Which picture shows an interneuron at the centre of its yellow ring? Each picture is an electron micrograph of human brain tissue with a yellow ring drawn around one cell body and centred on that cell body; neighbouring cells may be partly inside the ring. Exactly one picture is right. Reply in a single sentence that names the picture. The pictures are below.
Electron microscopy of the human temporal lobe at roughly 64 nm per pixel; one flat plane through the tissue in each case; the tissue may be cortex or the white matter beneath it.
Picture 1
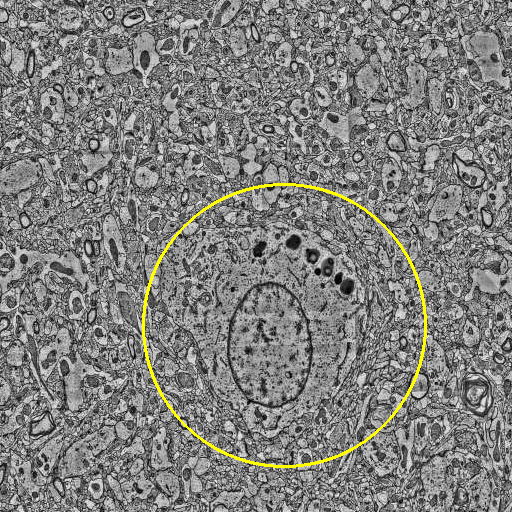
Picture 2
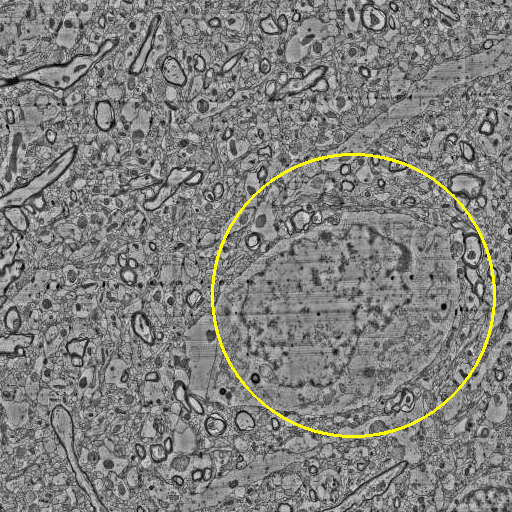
Picture 2 shows it.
